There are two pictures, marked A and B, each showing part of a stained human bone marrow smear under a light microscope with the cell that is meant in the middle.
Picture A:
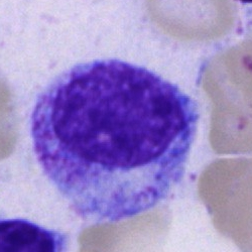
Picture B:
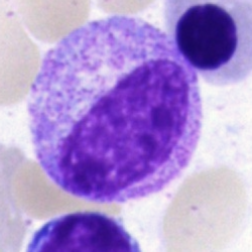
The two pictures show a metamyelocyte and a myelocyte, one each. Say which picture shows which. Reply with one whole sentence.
It is picture A that shows a myelocyte, and picture B that shows a metamyelocyte.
